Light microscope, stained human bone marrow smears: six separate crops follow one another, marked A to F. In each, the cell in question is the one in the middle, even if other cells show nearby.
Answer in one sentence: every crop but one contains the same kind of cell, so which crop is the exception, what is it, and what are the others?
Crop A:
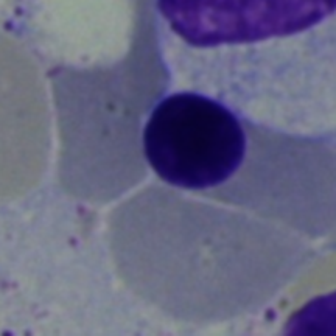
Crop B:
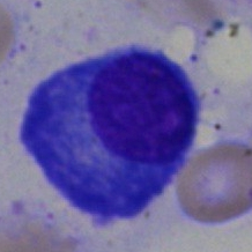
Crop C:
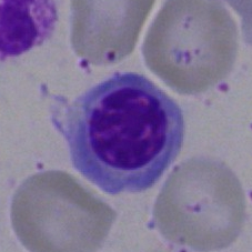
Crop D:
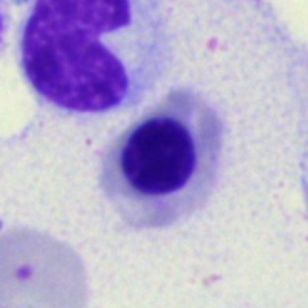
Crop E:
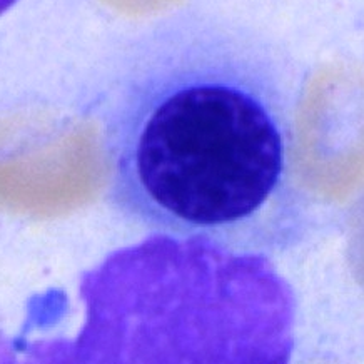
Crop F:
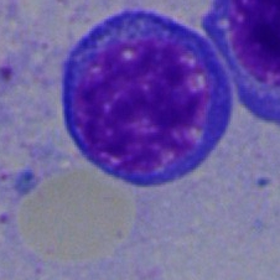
All of the other crops show erythroblasts; crop B, by contrast, is a plasma cell.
